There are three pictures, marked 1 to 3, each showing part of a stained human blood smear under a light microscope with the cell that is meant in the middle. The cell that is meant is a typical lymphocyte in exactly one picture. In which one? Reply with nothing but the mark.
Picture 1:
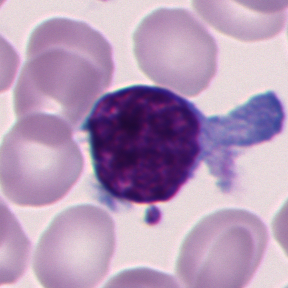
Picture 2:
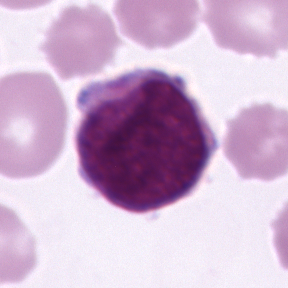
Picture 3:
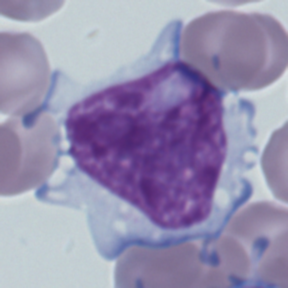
1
